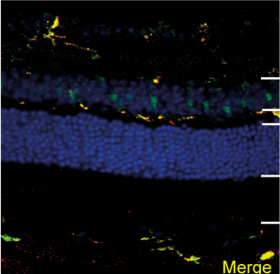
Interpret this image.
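Cross-section of retina with nuclei in blue marking two thick nuclear layers, the outer one broader and densely packed. Yellow cells with elongated bodies and thin processes run horizontally in the inner plexiform region near the top, in the thin band between the two nuclear layers, and along the bottom of the section beneath the photoreceptor outer zone. Scattered green cell bodies also lie within the inner nuclear layer. The outer nuclear layer itself holds almost no yellow cells.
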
